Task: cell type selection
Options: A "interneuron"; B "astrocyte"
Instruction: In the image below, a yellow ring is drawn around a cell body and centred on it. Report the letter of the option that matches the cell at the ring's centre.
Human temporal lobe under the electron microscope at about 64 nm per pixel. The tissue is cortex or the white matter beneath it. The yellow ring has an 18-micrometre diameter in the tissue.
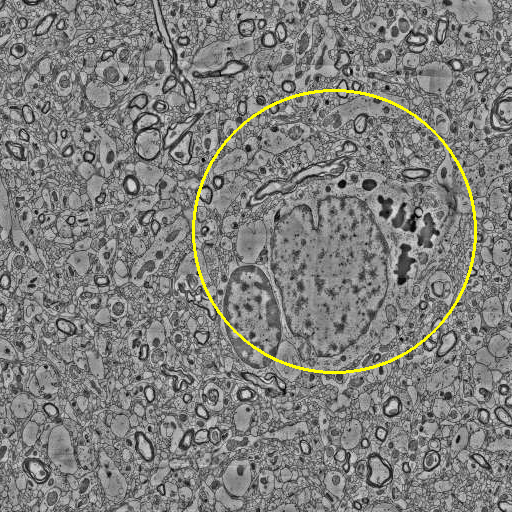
A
